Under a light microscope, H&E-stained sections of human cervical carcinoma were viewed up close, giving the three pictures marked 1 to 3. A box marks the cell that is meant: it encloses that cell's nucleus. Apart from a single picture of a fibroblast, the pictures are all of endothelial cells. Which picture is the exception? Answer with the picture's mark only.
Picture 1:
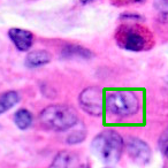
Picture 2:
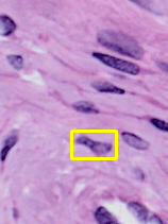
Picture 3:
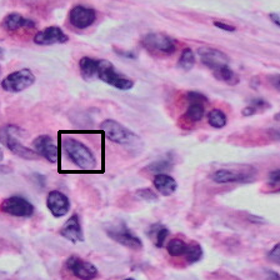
2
